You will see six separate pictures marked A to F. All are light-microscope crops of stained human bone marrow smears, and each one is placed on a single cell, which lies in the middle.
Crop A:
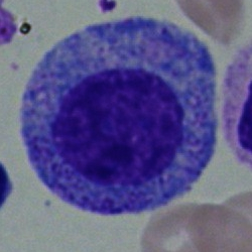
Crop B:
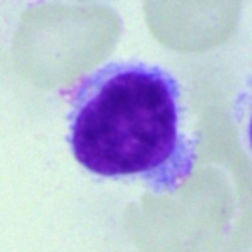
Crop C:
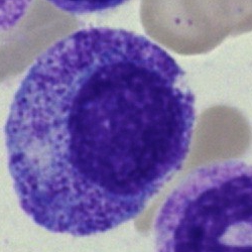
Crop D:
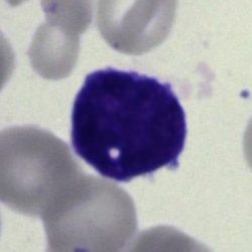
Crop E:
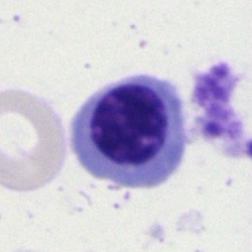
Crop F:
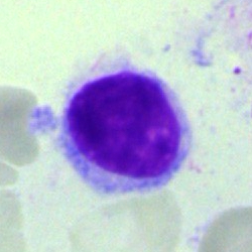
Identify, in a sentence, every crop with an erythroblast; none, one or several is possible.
What crop E shows is an erythroblast, something no other crop shows.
